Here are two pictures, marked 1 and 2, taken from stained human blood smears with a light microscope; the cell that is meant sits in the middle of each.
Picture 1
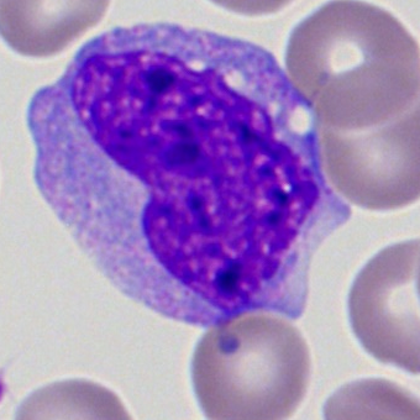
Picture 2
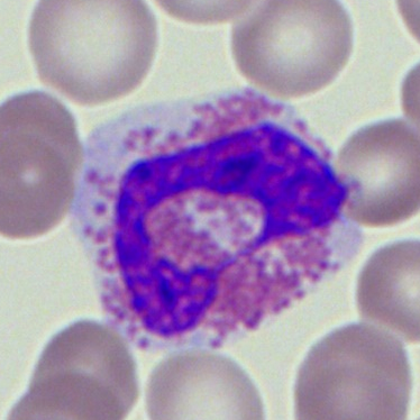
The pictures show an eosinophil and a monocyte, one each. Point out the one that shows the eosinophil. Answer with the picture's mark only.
2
